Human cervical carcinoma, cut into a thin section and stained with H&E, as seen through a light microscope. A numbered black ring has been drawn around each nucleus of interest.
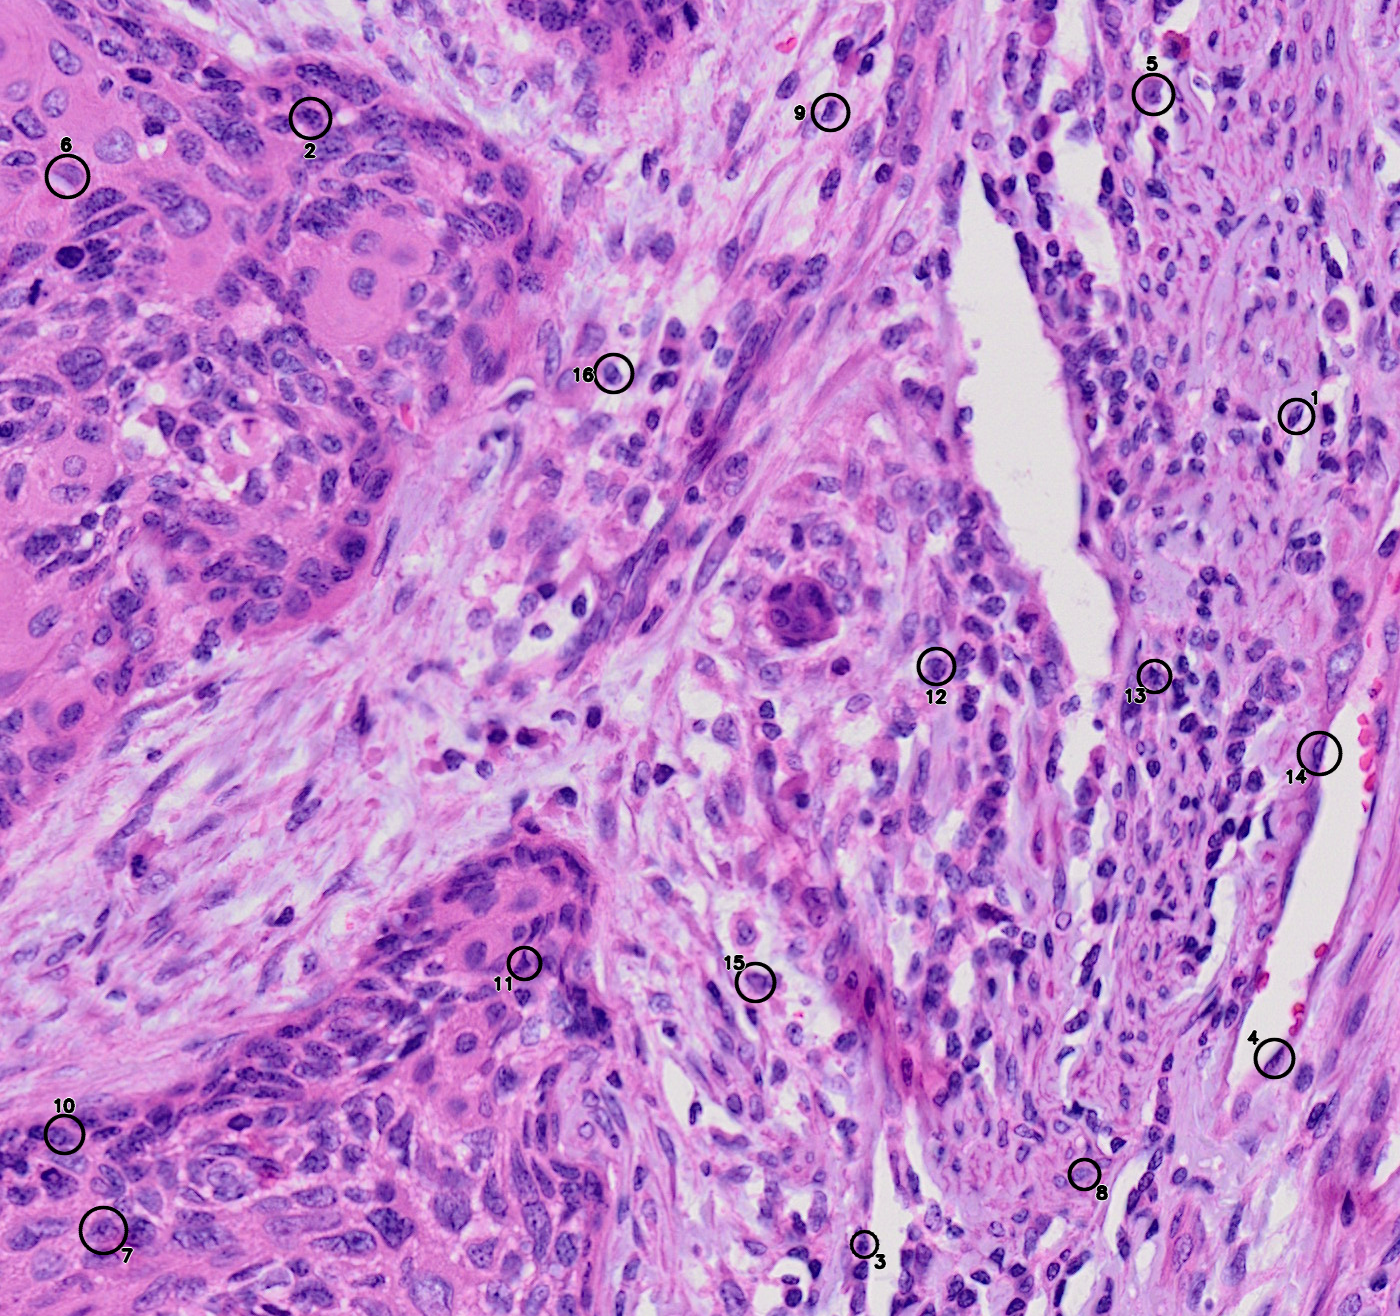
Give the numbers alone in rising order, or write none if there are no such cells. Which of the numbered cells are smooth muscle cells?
8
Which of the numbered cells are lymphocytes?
1, 3, 9, 12, 13, 16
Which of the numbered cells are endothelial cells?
4, 14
